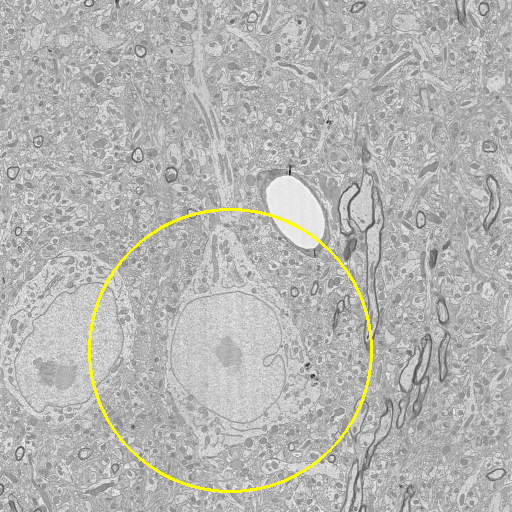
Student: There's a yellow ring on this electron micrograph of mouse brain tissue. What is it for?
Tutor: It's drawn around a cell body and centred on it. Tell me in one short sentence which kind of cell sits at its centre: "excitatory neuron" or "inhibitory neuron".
The cell at the centre of the ring is an excitatory neuron.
